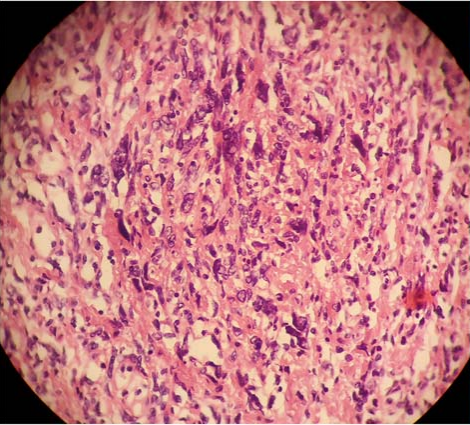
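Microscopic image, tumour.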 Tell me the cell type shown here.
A: Spindle cells.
